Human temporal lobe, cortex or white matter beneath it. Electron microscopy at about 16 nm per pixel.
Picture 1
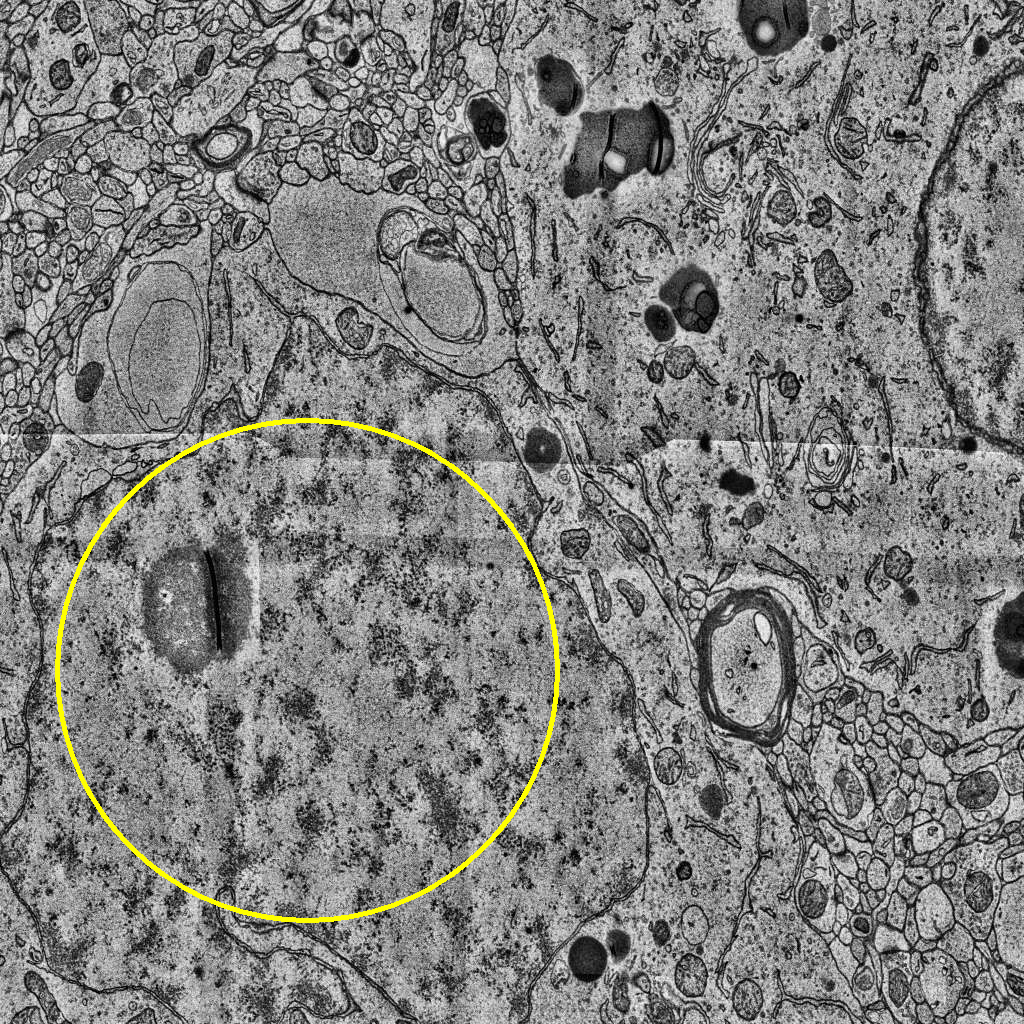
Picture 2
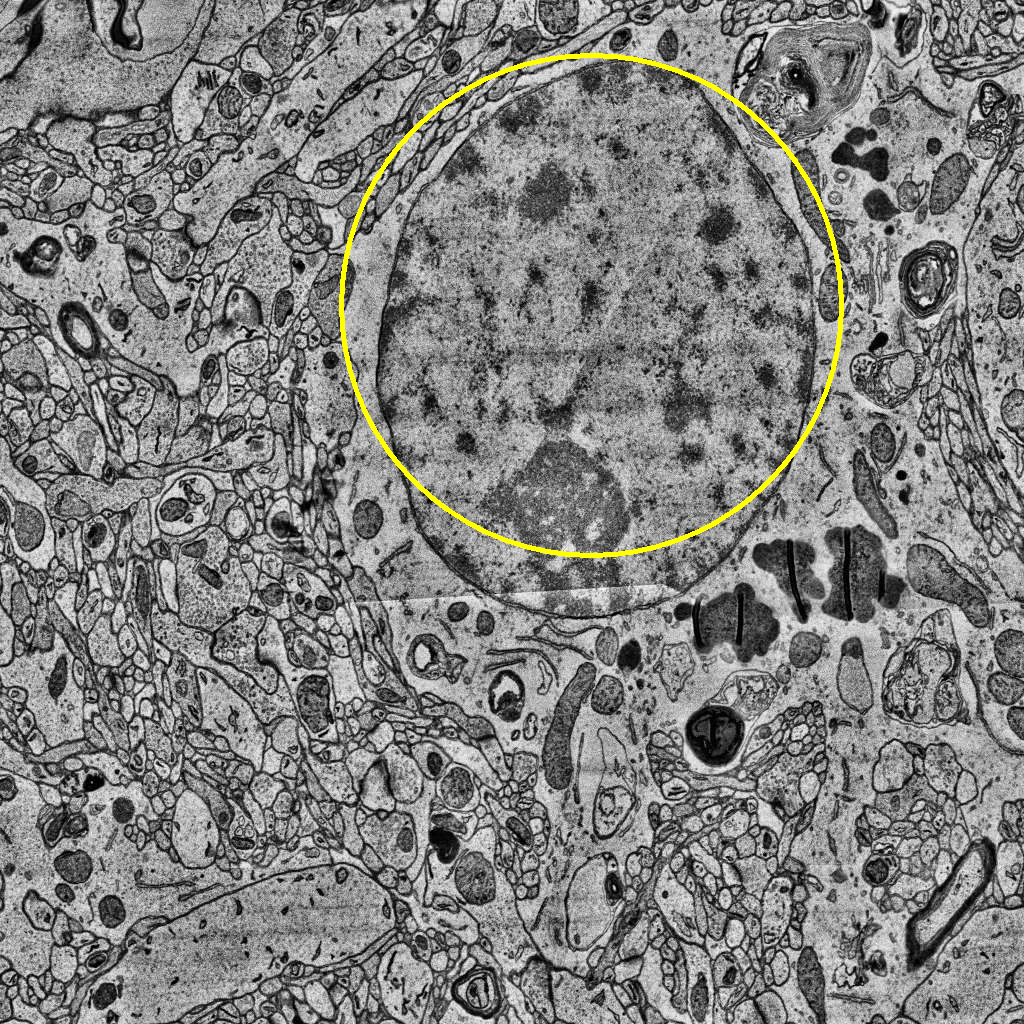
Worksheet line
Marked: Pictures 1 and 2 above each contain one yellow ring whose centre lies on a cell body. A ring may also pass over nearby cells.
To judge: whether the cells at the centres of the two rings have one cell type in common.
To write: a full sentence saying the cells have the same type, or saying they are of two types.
The cells at the centres of the rings in Picture 1 and Picture 2 are of two types.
